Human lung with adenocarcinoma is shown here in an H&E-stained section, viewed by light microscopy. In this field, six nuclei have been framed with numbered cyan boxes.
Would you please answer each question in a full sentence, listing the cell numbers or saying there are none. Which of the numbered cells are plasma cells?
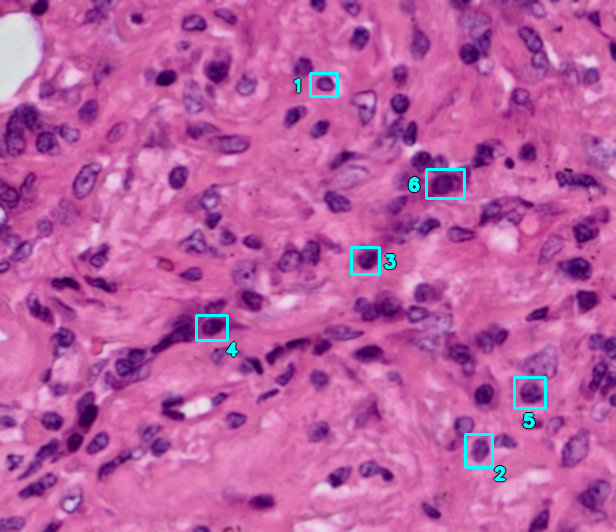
The cells numbered 3, 4, 5 and 6 are of the kind known as plasma cells.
